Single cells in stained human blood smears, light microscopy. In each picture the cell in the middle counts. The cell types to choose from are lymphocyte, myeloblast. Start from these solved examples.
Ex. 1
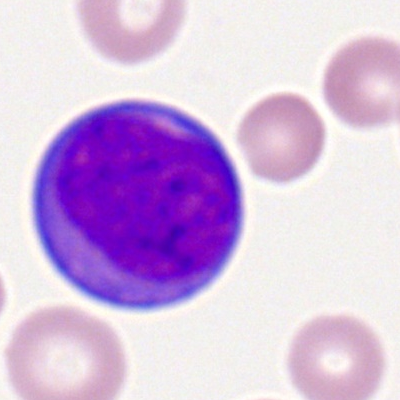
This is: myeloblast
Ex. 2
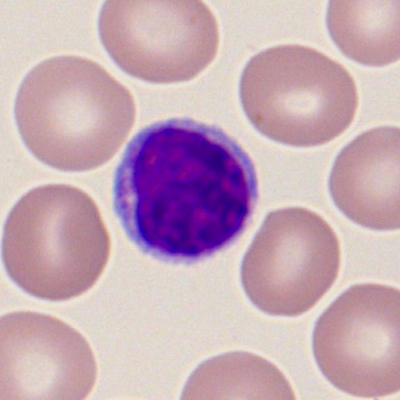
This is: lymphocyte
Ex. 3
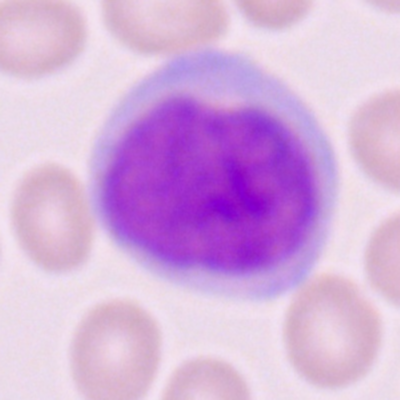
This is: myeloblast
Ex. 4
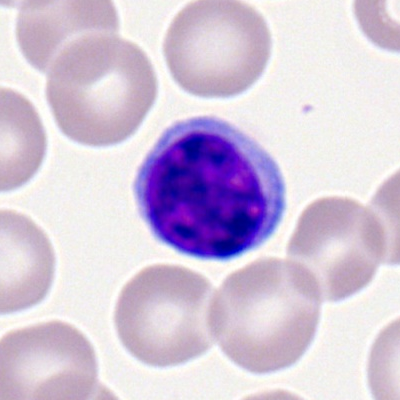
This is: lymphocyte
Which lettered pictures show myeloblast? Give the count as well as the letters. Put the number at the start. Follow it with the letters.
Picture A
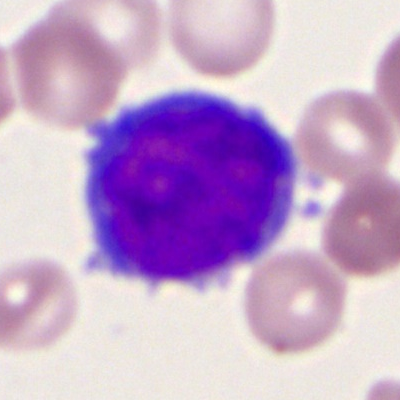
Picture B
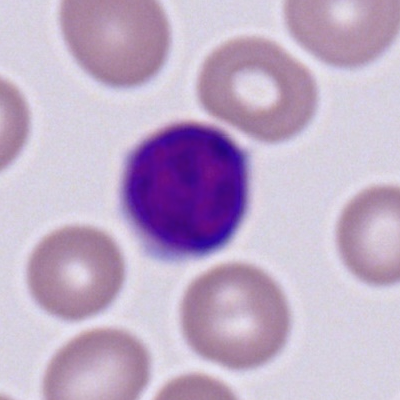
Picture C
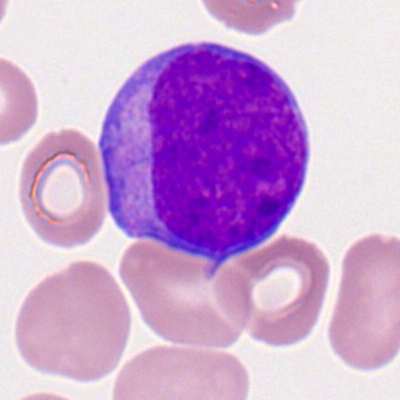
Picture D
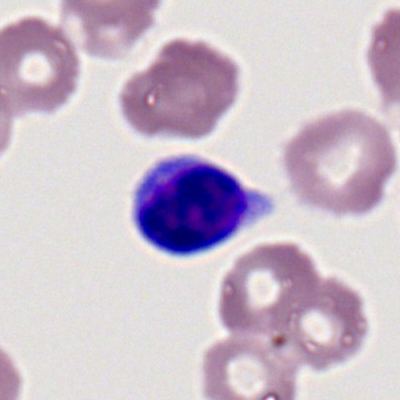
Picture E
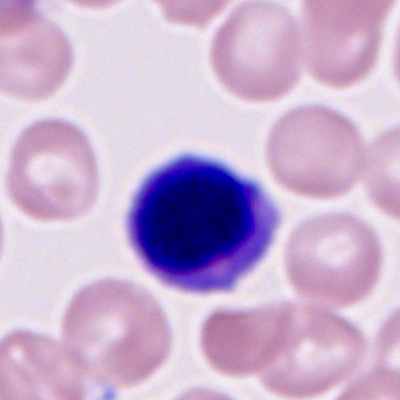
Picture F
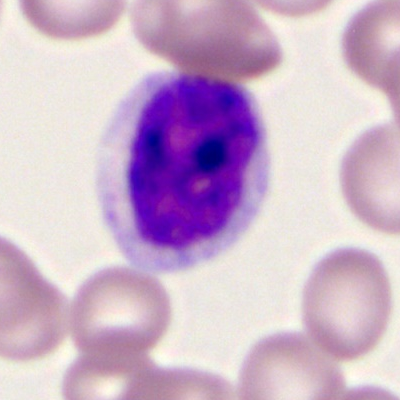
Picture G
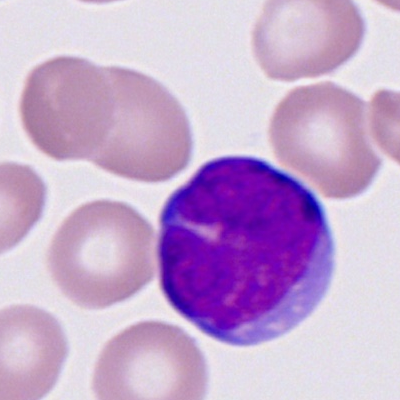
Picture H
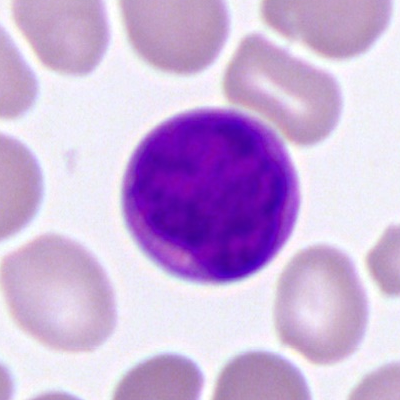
4: A, C, G, H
